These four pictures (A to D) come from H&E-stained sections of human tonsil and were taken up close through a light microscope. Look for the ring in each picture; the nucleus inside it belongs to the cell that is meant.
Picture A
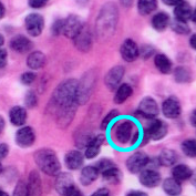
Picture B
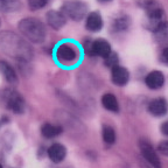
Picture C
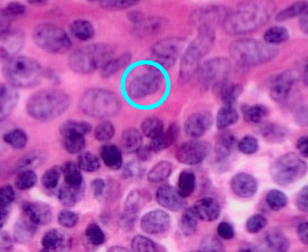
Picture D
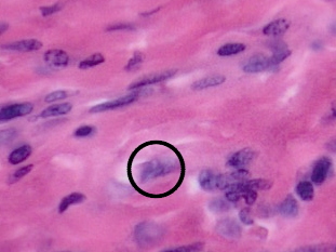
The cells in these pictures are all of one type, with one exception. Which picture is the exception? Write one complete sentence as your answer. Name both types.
Unlike the rest, which show endothelial cells, picture A shows a small lymphocyte.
